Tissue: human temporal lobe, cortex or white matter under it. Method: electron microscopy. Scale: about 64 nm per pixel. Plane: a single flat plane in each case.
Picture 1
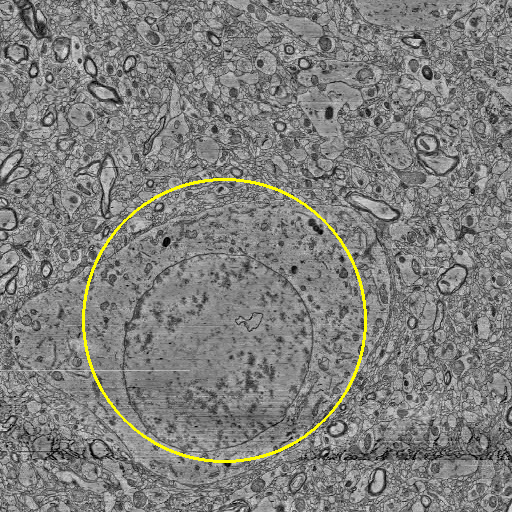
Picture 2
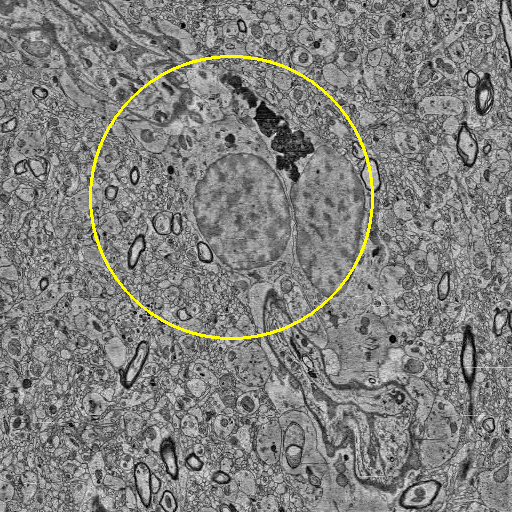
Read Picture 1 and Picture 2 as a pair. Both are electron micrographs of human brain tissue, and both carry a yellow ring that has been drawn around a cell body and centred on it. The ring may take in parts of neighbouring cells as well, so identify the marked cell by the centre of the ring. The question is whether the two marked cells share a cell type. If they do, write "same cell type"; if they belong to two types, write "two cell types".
two cell types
